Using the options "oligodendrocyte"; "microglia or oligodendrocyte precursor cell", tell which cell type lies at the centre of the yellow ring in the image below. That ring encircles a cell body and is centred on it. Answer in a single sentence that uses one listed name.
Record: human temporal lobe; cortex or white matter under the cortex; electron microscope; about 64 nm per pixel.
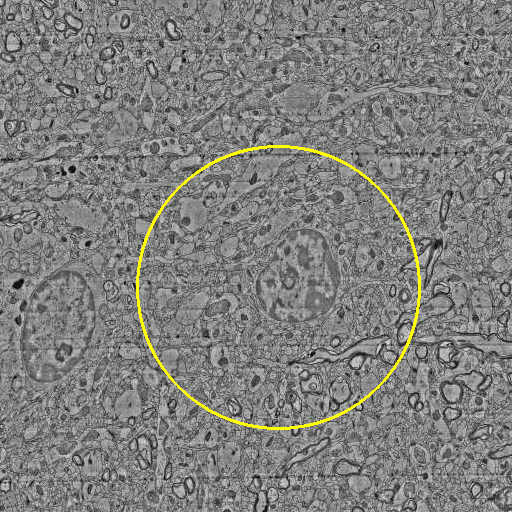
At the centre of the yellow ring lies the body of a microglial cell or oligodendrocyte precursor cell.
